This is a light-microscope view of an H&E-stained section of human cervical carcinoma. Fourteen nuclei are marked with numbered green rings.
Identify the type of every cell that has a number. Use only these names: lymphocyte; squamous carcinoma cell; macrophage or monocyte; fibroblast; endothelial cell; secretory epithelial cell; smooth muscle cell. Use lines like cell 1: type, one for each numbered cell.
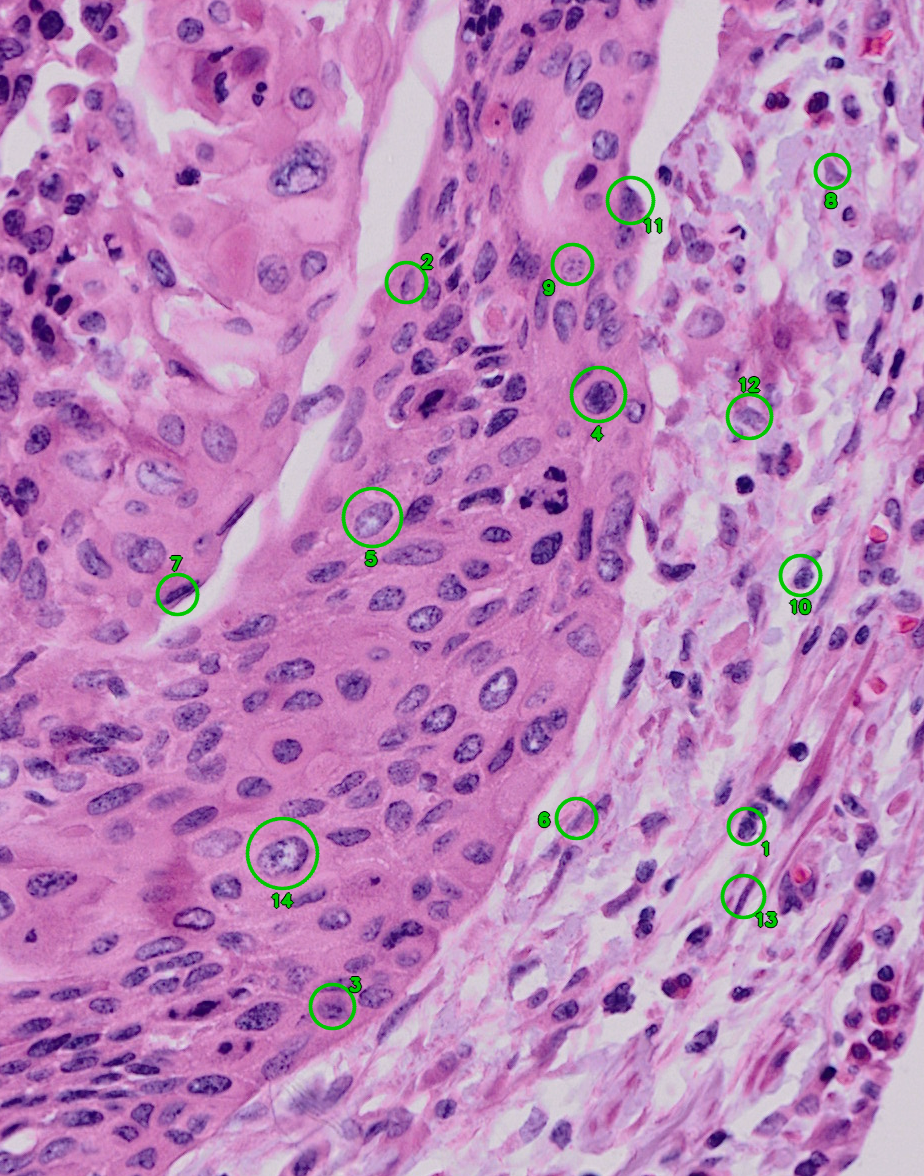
cell 1: lymphocyte
cell 2: squamous carcinoma cell
cell 3: squamous carcinoma cell
cell 4: squamous carcinoma cell
cell 5: squamous carcinoma cell
cell 6: fibroblast
cell 7: squamous carcinoma cell
cell 8: fibroblast
cell 9: squamous carcinoma cell
cell 10: lymphocyte
cell 11: squamous carcinoma cell
cell 12: fibroblast
cell 13: fibroblast
cell 14: squamous carcinoma cell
